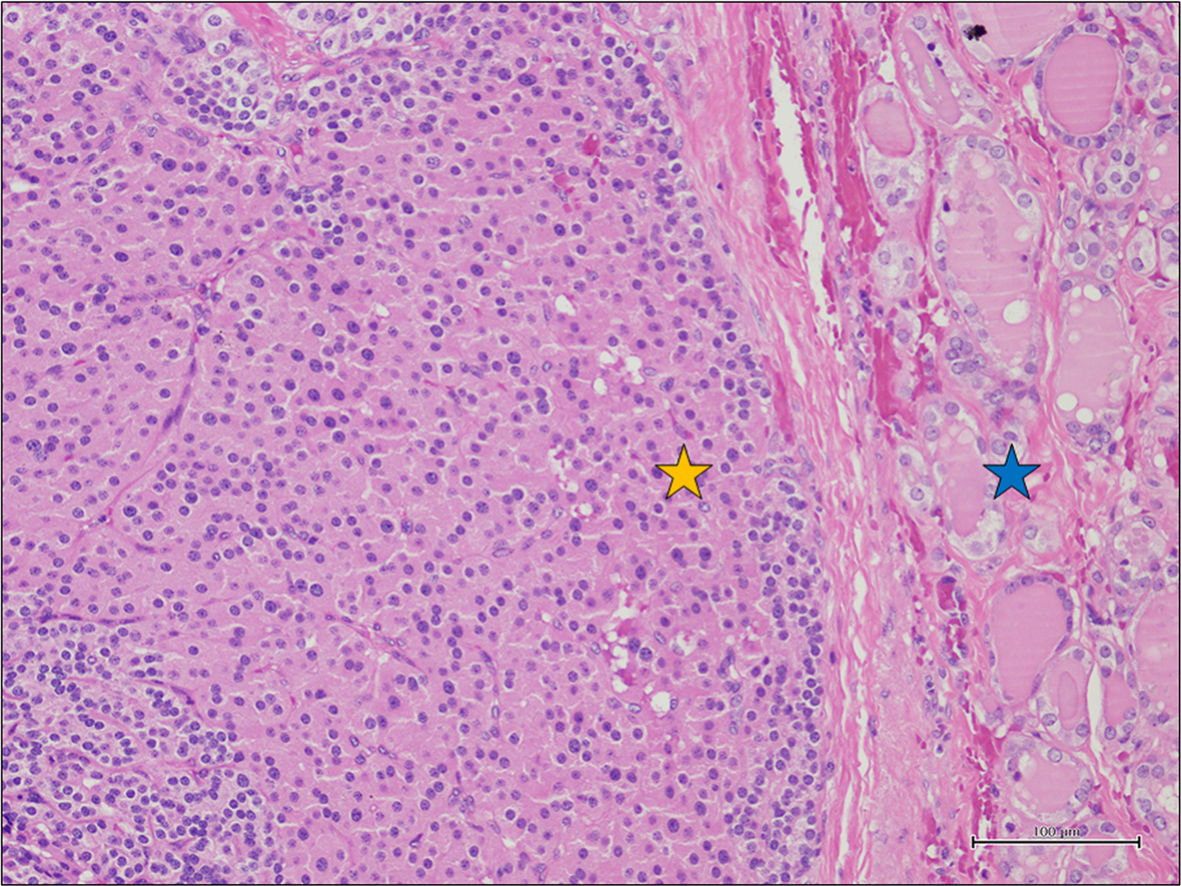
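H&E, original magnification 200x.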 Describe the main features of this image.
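This section shows two tissues side by side, separated by a band of pink fibrous connective tissue. The cells are polygonal, with round, fairly uniform dark purple nuclei and pale pink cytoplasm. Toward the edges the cells crowd more tightly. On the right lie thyroid follicles: round and oval spaces filled with smooth pink colloid, some showing small clear vacuoles, each lined by a single layer of cuboidal epithelial cells with round nuclei.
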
